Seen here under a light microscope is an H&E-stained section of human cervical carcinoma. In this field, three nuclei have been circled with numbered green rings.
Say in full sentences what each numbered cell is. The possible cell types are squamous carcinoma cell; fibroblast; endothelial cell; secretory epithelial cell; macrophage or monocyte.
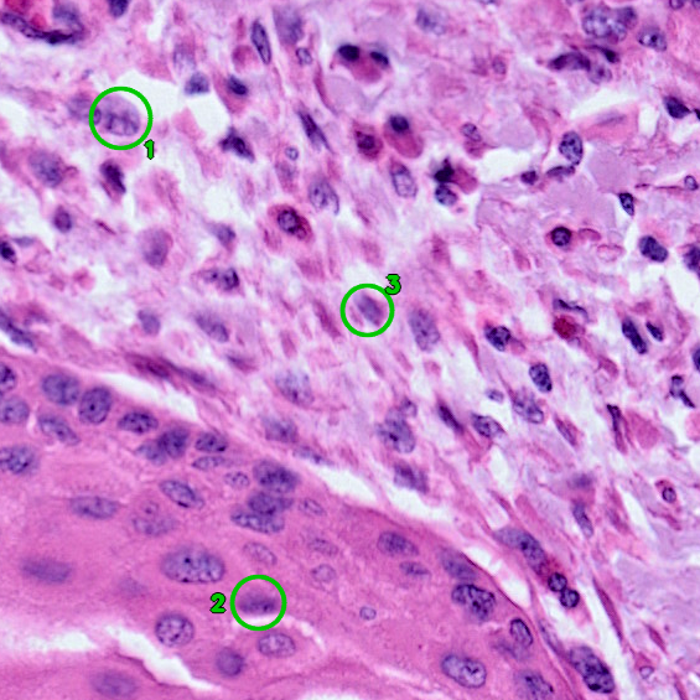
Cell 1 is a fibroblast, cell 2 is a squamous carcinoma cell and cell 3 is a fibroblast.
